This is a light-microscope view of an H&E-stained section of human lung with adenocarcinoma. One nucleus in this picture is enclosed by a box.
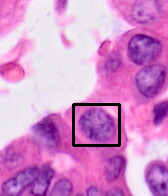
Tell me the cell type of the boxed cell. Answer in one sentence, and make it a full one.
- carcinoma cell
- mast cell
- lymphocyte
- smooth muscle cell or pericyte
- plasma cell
The cell type represented by the boxed cell is that of a carcinoma cell.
